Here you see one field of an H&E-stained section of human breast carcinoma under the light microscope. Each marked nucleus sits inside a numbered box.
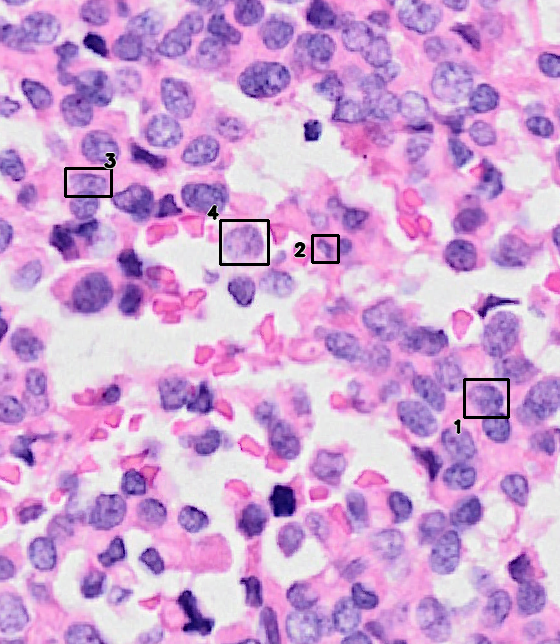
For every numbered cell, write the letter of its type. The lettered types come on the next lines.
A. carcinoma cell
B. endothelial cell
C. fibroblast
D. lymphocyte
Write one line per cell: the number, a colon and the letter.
1: A
2: B
3: A
4: A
